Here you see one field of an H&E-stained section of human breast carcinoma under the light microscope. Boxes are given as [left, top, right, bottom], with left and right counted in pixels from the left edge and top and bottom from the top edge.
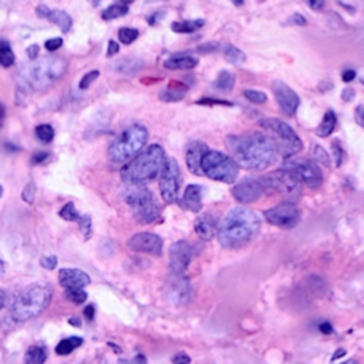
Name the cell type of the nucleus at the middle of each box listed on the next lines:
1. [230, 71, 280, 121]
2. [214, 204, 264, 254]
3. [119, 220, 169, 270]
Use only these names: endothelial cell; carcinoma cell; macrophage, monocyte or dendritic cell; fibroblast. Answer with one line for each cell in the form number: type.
1: endothelial cell
2: carcinoma cell
3: carcinoma cell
